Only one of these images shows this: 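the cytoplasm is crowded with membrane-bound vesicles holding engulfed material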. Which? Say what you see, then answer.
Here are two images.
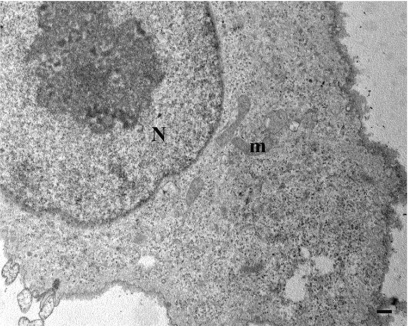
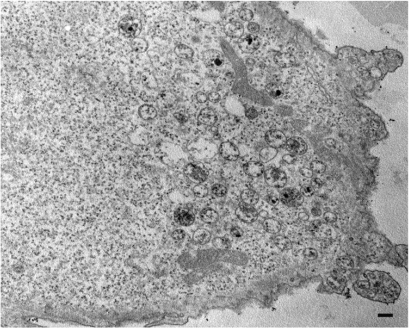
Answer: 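Second image: numerous round vesicles with heterogeneous, partly dense contents fill the cytoplasm. First image: the cytoplasm shows few such vesicles beside the nucleus and a mitochondrion.
Hence: the second image.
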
